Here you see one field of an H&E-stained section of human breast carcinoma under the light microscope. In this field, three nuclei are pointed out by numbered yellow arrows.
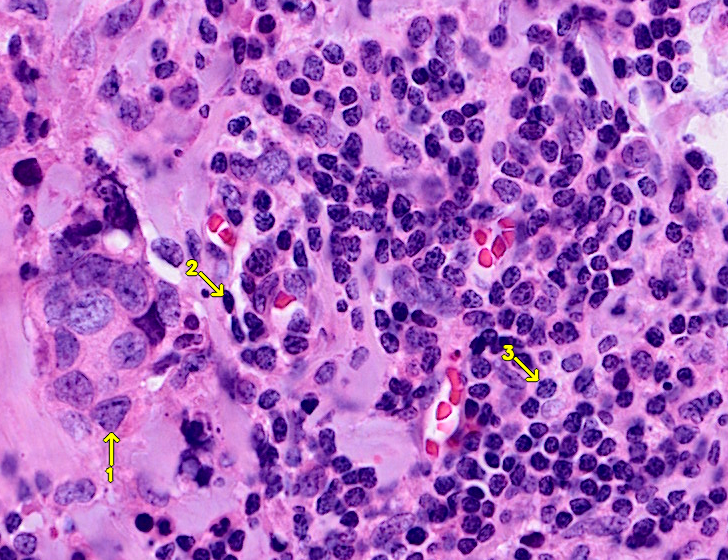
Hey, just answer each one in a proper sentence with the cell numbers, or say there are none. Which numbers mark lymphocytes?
The cells whose numbers are 2 and 3 are lymphocytes.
